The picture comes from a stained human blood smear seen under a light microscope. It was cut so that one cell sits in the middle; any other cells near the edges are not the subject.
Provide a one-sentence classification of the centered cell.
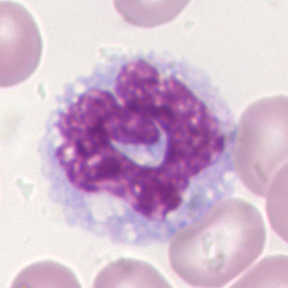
The middle of this crop holds a monocyte.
